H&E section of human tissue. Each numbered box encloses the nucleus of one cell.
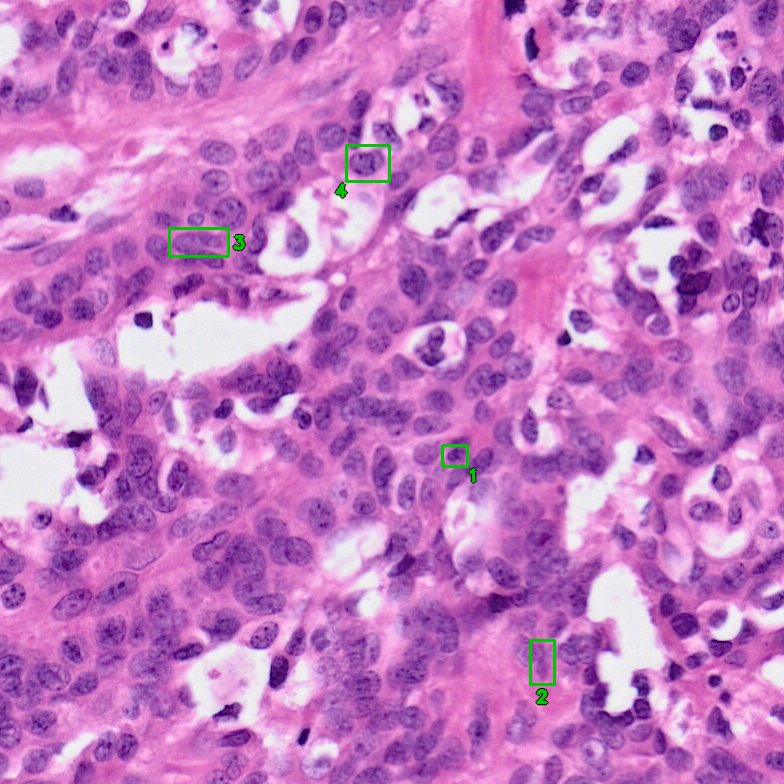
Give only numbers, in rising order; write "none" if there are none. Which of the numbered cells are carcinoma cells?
1, 2, 3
